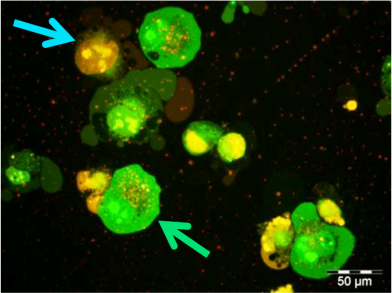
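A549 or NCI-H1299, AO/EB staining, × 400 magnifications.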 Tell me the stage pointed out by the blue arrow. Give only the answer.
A: Late apoptotic cells.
